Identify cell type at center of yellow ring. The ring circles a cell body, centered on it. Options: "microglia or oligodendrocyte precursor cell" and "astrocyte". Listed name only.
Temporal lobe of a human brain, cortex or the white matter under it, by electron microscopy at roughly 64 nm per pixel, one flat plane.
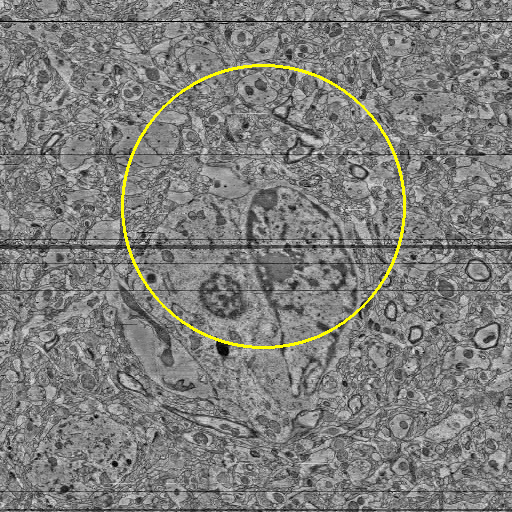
microglia or oligodendrocyte precursor cell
